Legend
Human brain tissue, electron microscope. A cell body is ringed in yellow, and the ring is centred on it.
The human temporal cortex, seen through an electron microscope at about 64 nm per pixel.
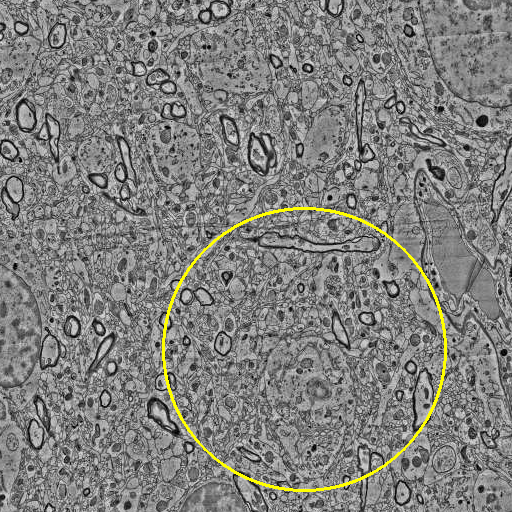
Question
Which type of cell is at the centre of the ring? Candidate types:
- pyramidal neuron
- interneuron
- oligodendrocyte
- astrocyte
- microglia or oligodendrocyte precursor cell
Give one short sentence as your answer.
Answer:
The yellow ring is centred here on a pyramidal neuron.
